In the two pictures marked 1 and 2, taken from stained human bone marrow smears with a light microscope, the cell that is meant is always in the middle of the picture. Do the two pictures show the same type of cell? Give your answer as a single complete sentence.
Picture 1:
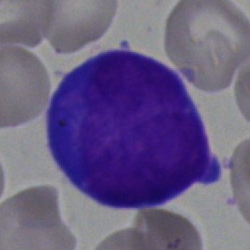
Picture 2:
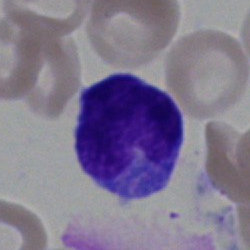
No. Picture 1 shows a blast, but picture 2 shows a lymphocyte.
